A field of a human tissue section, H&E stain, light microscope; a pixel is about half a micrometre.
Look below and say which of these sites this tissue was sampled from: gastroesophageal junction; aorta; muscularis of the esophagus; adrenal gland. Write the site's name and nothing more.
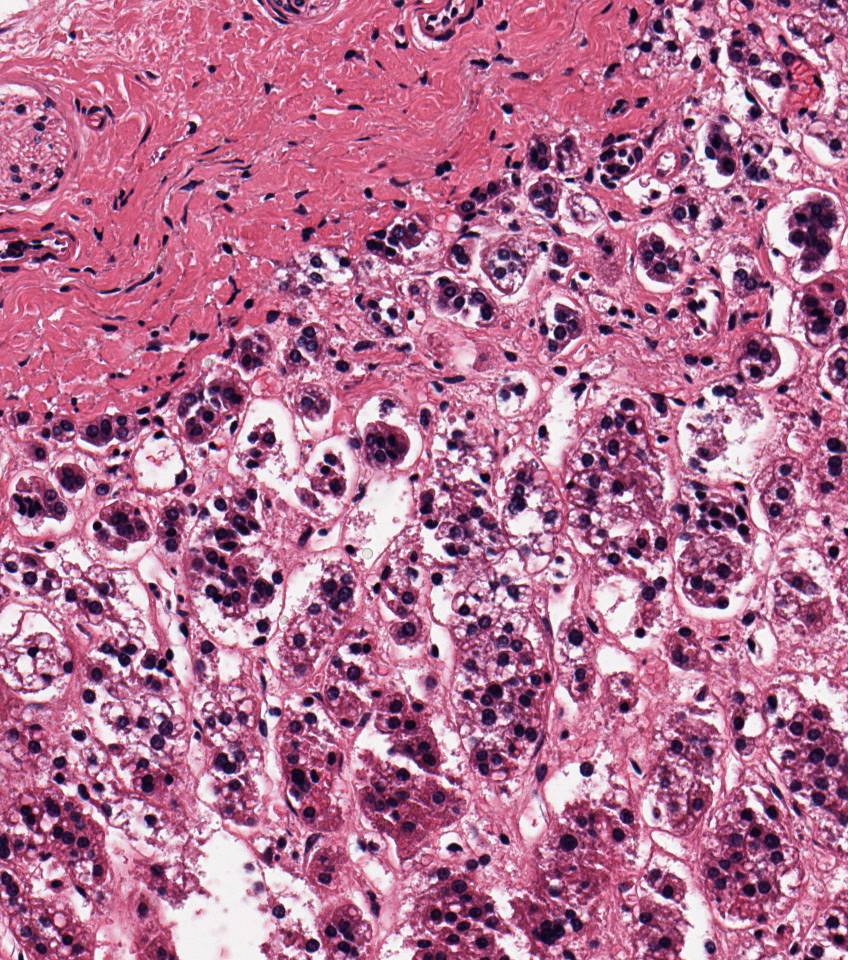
adrenal gland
